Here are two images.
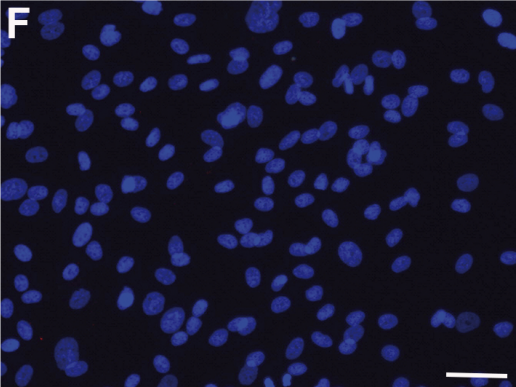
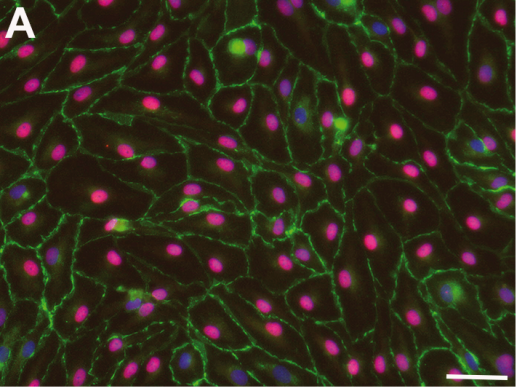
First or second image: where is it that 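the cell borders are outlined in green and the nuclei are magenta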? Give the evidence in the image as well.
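First image: only blue nuclei on a dark background, no green outlines or magenta nuclei. Second image: green lines outline every cell and most nuclei are magenta. On this evidence: the second image.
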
